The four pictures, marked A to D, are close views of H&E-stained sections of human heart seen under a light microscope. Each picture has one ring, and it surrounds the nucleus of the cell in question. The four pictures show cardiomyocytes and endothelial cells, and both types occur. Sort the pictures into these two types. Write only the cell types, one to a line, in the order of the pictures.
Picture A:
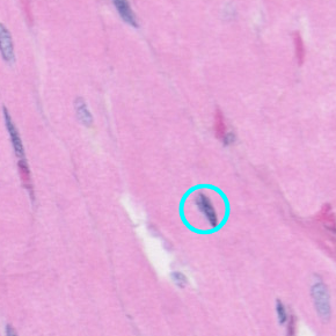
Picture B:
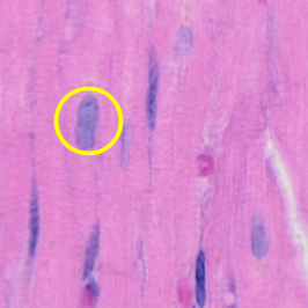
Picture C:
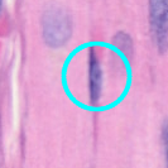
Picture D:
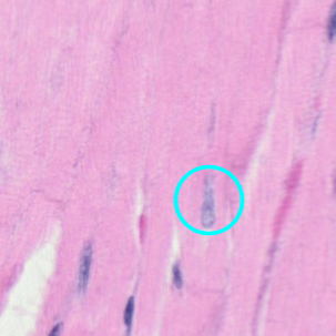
endothelial cell
cardiomyocyte
endothelial cell
cardiomyocyte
